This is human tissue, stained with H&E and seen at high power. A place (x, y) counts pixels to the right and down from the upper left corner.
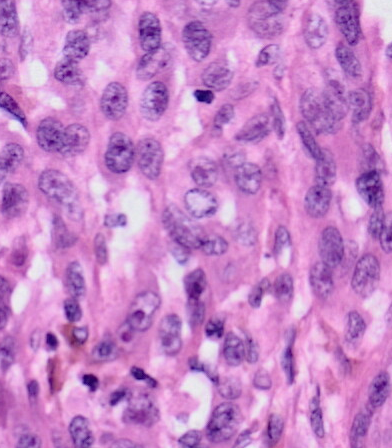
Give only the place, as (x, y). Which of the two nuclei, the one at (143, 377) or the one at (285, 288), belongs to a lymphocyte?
(143, 377)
